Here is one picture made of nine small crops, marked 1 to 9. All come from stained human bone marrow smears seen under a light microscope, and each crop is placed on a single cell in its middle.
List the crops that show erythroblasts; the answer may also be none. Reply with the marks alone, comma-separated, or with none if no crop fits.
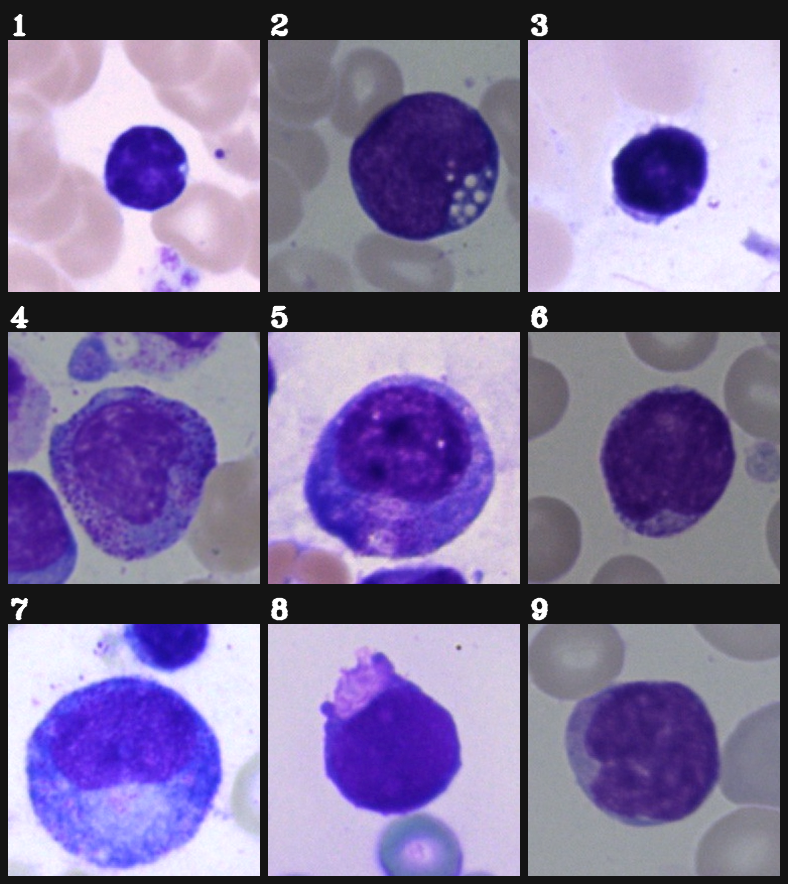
none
